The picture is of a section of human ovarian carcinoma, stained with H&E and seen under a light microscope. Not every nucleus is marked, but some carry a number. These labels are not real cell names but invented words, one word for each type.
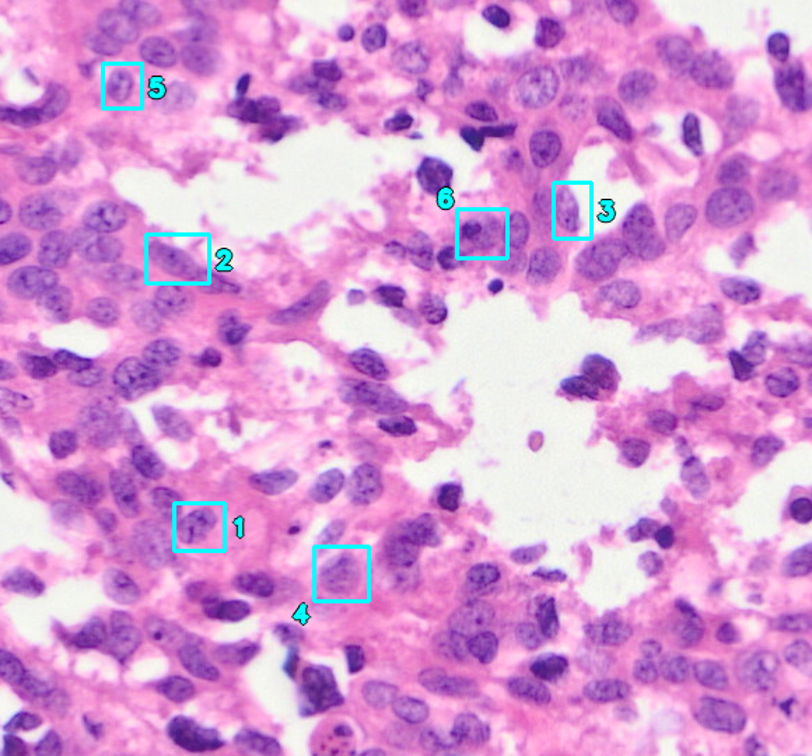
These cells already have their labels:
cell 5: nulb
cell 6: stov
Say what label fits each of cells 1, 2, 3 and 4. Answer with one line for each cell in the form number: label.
1: nulb
2: stov
3: stov
4: stov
